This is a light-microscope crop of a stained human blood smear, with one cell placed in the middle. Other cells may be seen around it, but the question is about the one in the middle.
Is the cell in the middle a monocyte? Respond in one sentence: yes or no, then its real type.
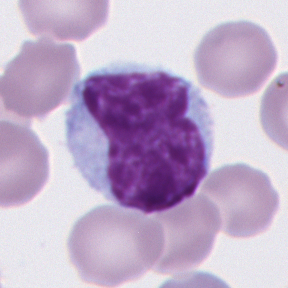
Yes, the middle cell here is a monocyte.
